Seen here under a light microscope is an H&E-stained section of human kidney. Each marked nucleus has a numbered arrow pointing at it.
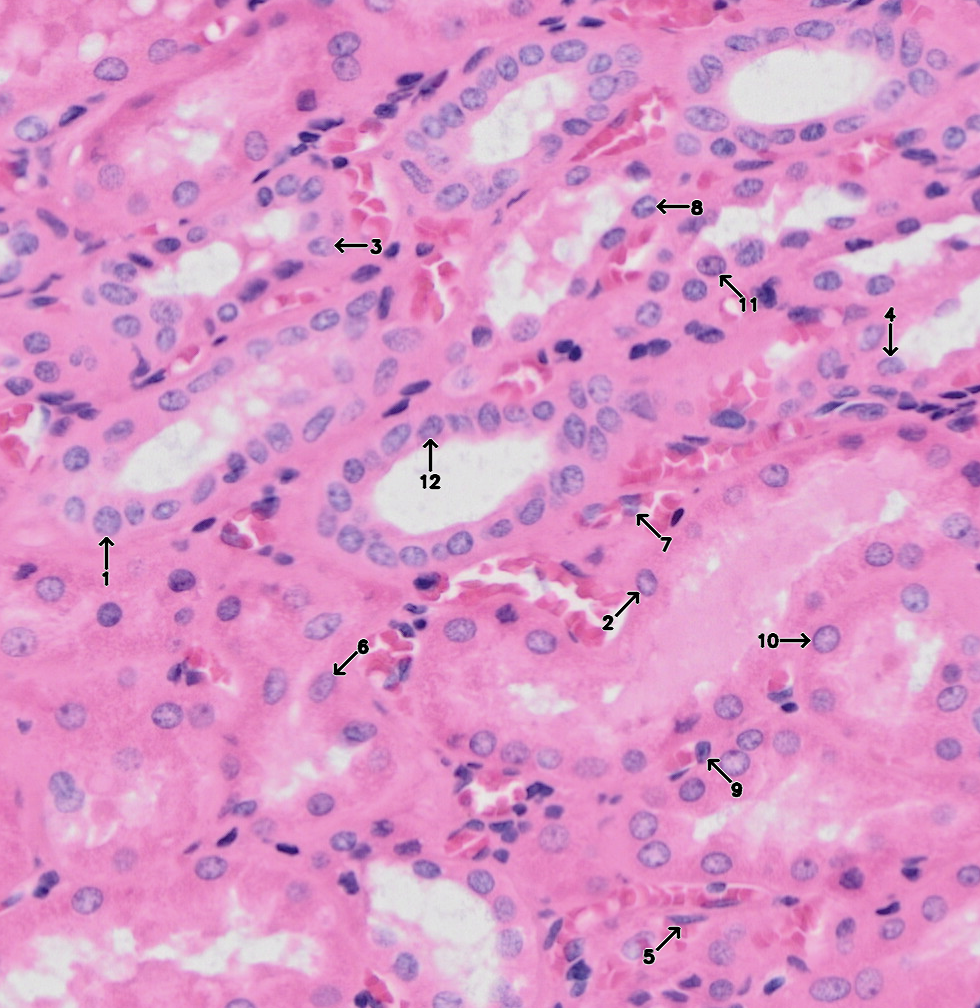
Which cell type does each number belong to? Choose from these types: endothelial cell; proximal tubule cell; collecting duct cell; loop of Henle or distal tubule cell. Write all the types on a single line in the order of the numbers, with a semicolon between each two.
collecting duct cell; proximal tubule cell; collecting duct cell; loop of Henle or distal tubule cell; endothelial cell; proximal tubule cell; endothelial cell; loop of Henle or distal tubule cell; endothelial cell; proximal tubule cell; loop of Henle or distal tubule cell; collecting duct cell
